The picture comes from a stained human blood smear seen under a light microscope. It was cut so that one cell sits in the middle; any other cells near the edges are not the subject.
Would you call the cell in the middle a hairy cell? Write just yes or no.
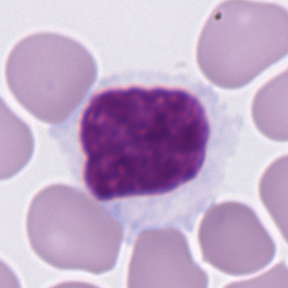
yes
